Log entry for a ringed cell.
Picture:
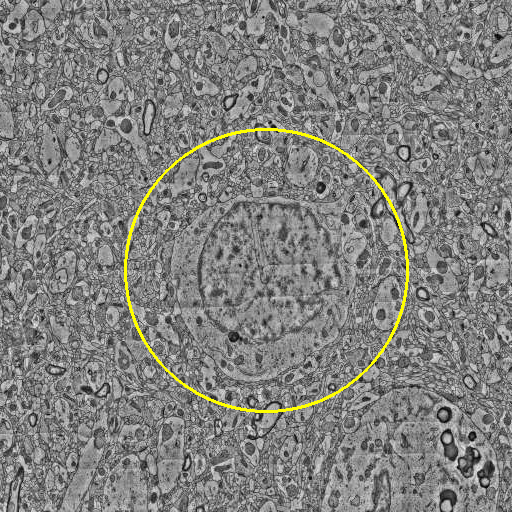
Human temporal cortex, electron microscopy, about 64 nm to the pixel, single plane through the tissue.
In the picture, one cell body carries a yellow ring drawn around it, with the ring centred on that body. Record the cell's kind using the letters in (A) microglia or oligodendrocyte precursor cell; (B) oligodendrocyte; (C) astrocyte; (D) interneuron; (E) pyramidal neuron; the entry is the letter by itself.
D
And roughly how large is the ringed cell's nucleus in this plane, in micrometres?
In this plane the nucleus is about 9 micrometres across.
